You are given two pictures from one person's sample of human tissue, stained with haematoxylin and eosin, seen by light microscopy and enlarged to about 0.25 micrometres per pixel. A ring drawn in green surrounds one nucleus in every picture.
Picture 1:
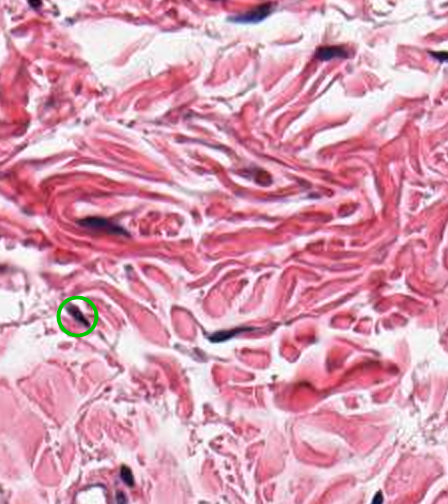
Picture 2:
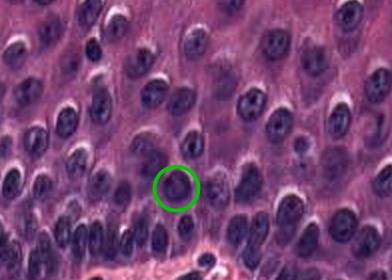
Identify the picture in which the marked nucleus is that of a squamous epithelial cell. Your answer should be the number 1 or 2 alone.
2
